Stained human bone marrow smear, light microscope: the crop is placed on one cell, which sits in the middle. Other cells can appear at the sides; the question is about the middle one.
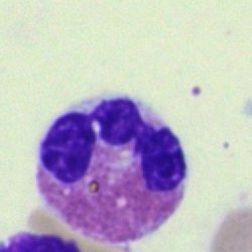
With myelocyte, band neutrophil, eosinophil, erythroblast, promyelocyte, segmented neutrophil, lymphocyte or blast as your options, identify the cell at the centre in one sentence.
The identification for the central cell is an eosinophil.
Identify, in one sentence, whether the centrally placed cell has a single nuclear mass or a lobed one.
Two or more lobes make up the nucleus of this cell.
